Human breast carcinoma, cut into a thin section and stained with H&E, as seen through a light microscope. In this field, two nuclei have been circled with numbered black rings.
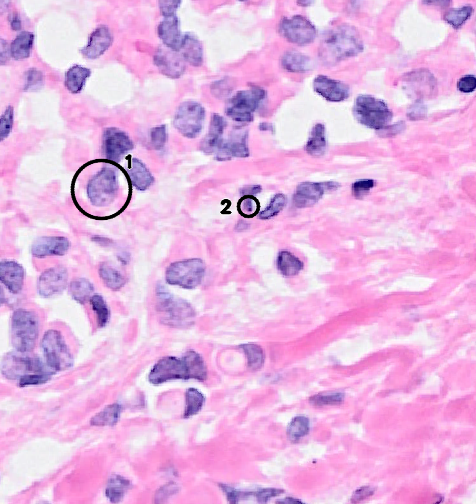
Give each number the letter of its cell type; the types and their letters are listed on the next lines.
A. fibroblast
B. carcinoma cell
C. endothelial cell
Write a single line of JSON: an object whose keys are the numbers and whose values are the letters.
{"1": "B", "2": "C"}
